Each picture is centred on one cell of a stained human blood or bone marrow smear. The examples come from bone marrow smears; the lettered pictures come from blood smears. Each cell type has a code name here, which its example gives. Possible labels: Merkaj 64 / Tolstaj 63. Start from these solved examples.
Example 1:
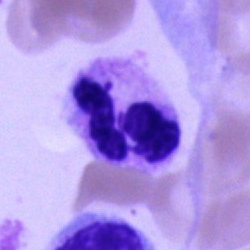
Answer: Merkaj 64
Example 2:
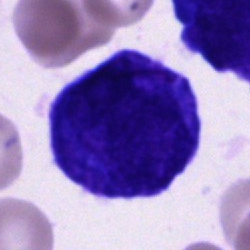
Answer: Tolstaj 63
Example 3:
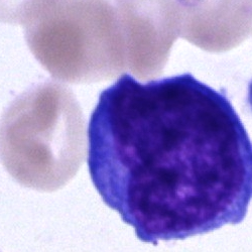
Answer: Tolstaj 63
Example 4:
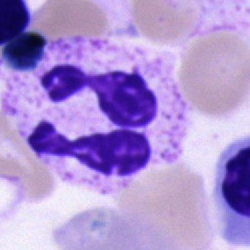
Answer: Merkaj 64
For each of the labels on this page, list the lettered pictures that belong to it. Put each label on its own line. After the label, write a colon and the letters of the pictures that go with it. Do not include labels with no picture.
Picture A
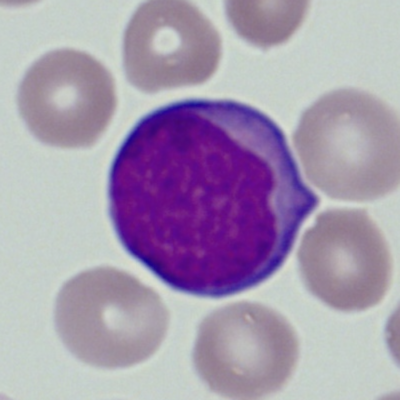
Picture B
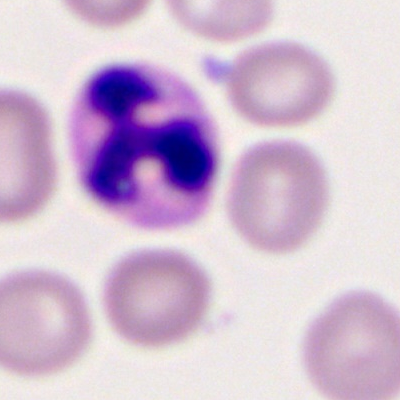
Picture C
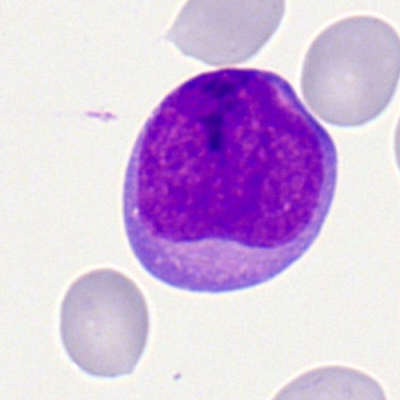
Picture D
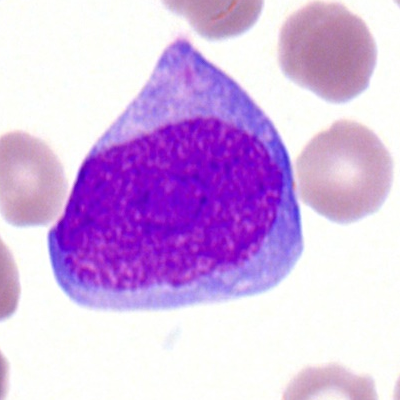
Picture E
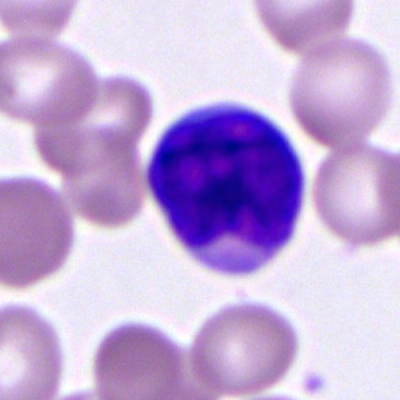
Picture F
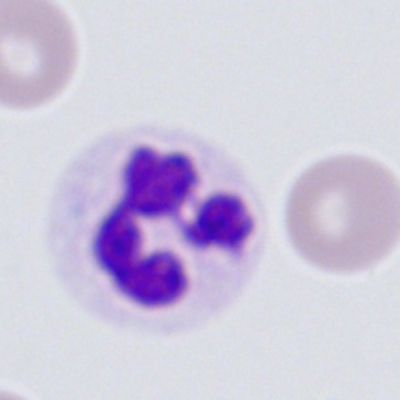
Merkaj 64: B, F
Tolstaj 63: A, C, D, E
